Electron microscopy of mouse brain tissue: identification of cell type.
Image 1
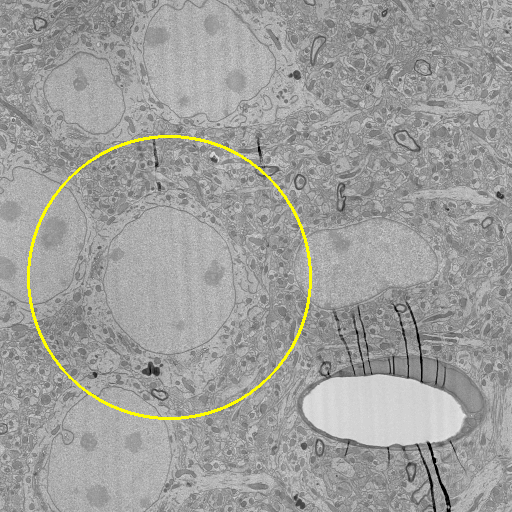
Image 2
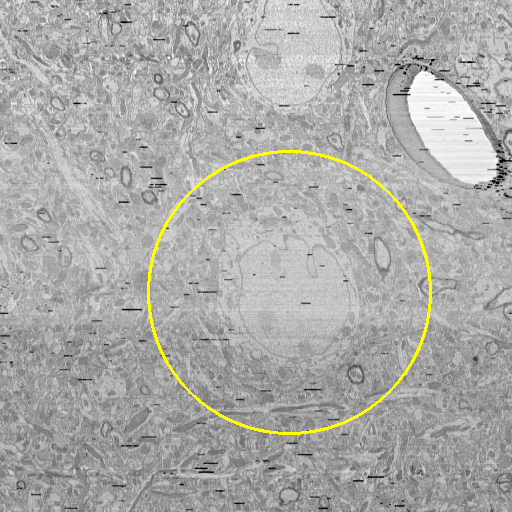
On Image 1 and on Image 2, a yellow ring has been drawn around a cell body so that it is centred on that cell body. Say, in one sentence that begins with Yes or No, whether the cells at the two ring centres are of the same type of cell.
Yes, both cells are the same type of cell.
